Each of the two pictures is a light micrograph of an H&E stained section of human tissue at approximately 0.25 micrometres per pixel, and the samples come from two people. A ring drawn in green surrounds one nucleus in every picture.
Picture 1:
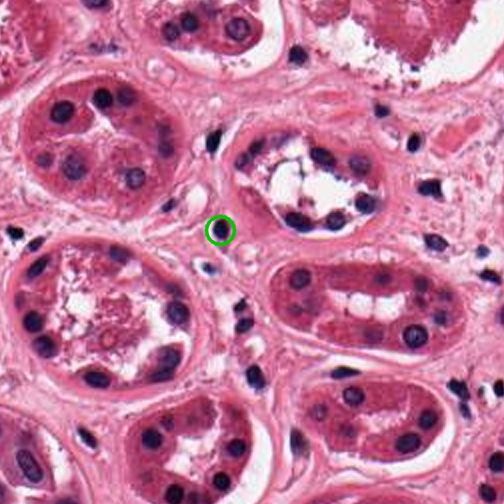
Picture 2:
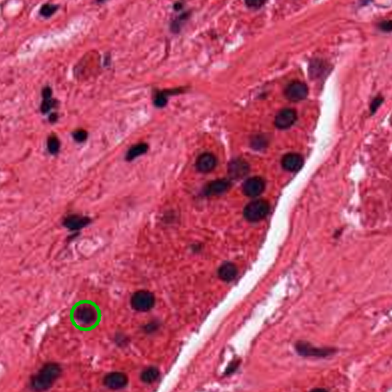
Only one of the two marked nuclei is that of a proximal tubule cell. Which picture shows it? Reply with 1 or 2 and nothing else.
2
